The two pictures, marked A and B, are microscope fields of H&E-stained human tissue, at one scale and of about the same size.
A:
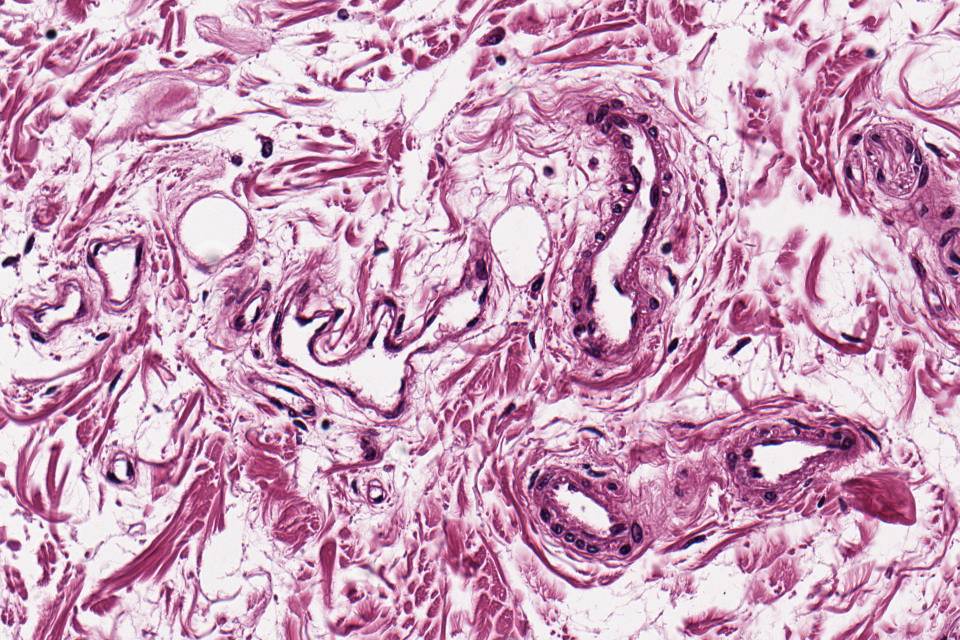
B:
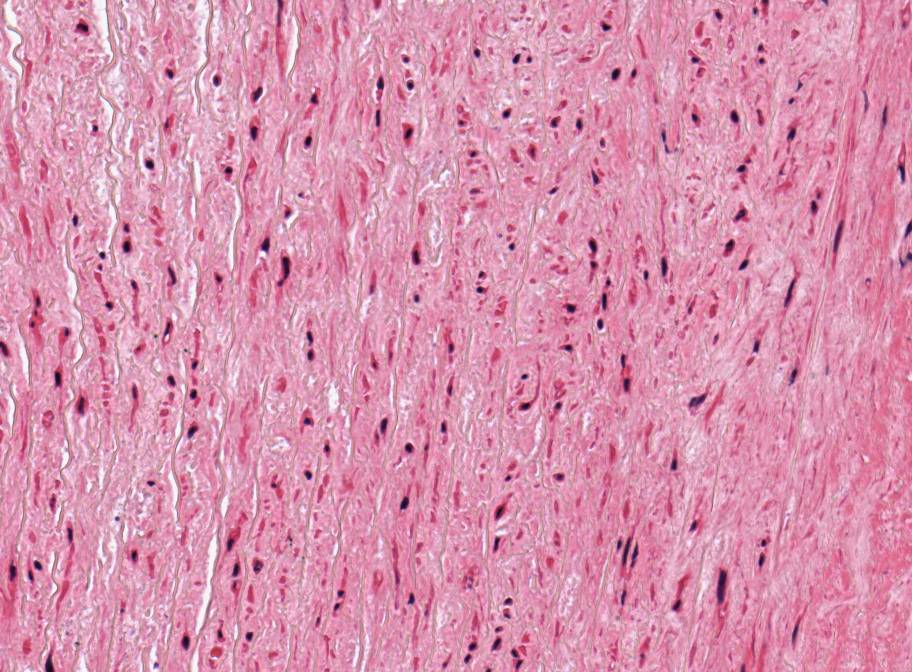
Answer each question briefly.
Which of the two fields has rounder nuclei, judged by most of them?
B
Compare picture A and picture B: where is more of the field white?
A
